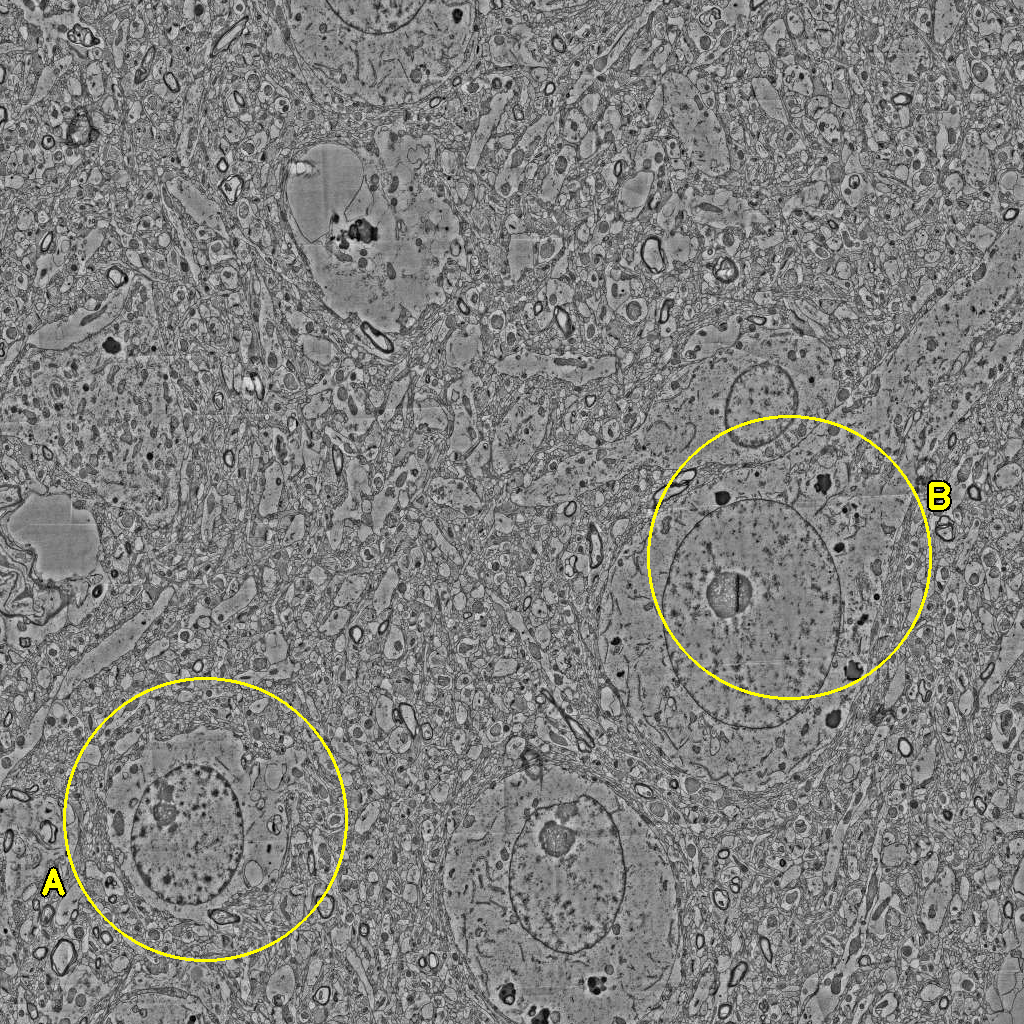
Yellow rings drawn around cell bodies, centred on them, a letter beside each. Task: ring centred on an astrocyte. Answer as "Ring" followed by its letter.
Ring A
